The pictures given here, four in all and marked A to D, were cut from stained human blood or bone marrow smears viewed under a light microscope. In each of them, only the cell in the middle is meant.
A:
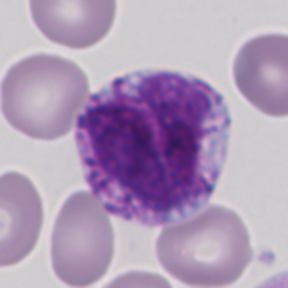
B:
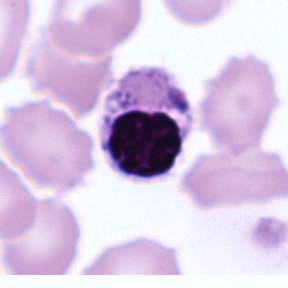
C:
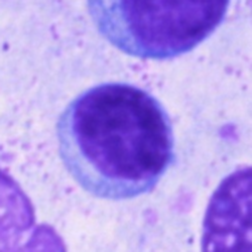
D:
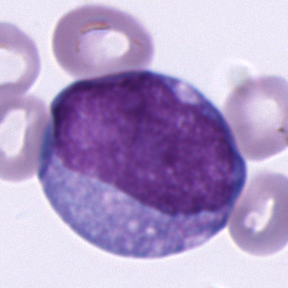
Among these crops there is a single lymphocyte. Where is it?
C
